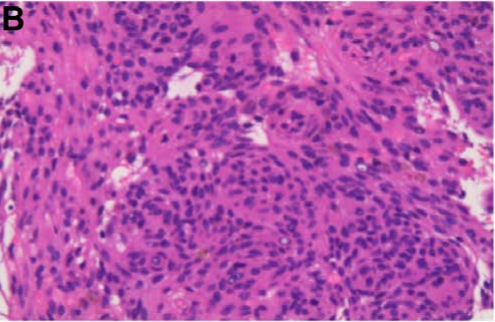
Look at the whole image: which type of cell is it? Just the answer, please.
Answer: meningioma cells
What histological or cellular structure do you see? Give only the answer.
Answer: whirlpool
